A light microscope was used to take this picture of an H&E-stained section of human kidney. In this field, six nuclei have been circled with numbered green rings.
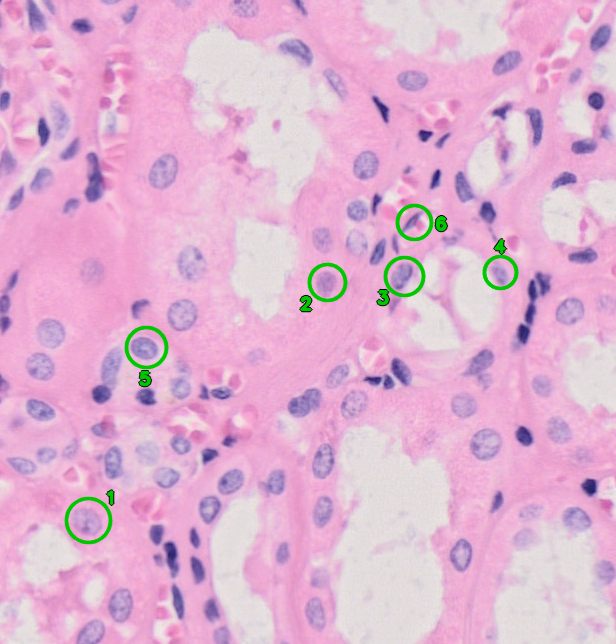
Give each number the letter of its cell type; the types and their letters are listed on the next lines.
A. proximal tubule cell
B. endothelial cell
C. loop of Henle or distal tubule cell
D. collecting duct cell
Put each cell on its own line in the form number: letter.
1: A
2: A
3: C
4: C
5: D
6: B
